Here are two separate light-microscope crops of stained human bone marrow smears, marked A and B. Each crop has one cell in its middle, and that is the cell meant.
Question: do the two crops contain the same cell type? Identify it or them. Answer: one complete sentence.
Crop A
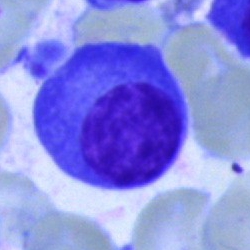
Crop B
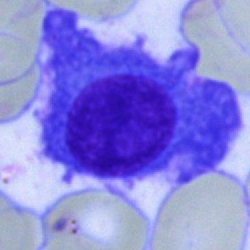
Yes, both crops alike show plasma cells at the centre.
